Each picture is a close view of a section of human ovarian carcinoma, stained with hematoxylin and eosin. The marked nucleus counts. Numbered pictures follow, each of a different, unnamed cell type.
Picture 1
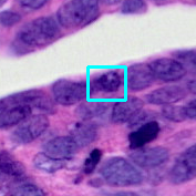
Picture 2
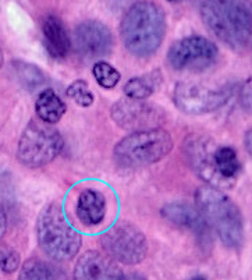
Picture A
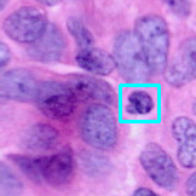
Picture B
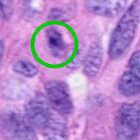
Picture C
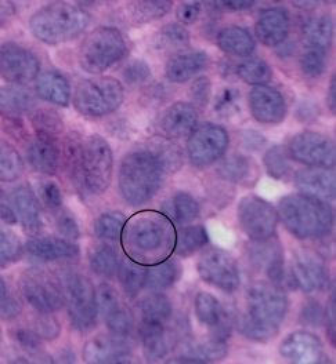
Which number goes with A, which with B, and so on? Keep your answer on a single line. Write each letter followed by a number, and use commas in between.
A 2, B 2, C 1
